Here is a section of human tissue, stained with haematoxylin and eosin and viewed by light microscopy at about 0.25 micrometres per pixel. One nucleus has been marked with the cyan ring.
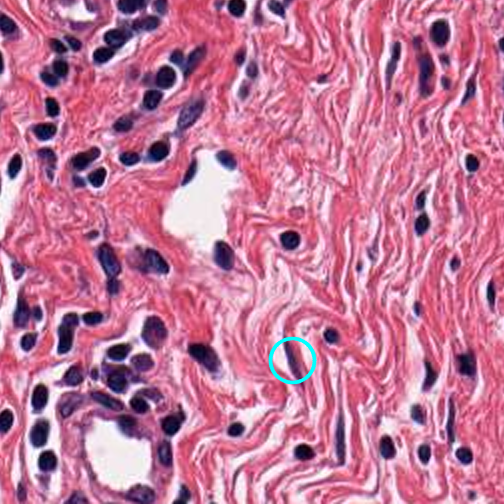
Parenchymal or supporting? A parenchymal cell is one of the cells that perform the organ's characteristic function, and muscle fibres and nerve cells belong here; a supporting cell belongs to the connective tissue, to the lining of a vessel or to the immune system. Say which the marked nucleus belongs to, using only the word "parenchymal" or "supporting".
supporting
